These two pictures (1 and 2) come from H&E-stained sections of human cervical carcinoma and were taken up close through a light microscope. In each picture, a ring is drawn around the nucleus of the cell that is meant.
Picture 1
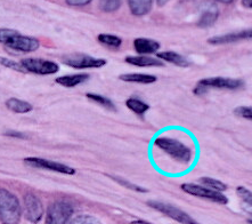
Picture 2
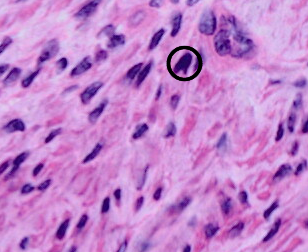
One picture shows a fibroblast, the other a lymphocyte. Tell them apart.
1: fibroblast
2: lymphocyte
